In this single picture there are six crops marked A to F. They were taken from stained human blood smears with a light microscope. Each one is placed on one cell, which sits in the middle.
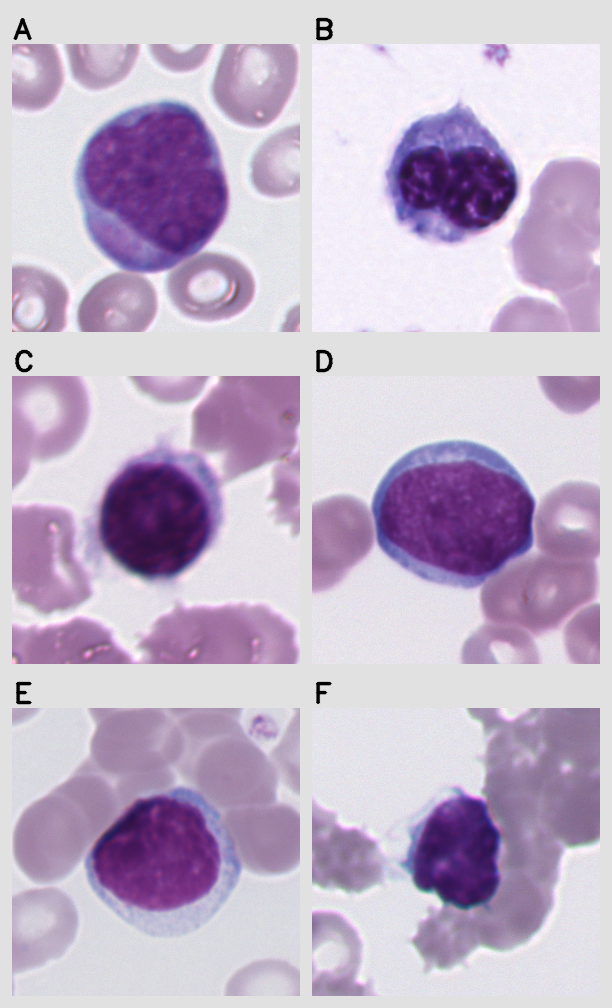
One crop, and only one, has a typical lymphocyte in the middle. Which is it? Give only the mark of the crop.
F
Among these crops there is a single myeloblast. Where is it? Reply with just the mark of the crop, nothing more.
D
